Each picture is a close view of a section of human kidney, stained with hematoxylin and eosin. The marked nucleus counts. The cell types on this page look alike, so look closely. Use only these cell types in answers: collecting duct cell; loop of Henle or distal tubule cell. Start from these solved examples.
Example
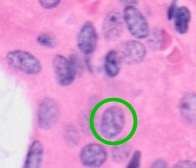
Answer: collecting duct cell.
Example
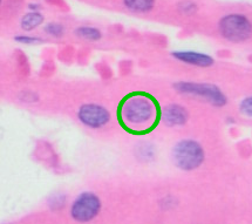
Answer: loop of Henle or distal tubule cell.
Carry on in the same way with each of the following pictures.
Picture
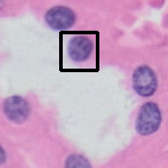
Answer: loop of Henle or distal tubule cell.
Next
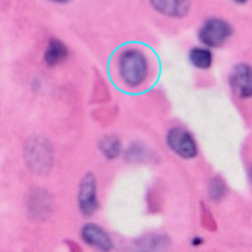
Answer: loop of Henle or distal tubule cell.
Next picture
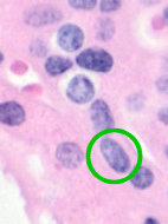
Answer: collecting duct cell.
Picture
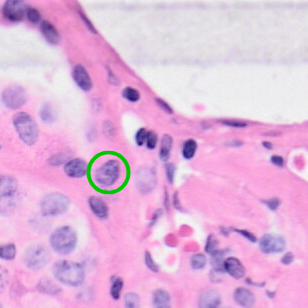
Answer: collecting duct cell.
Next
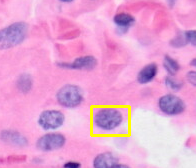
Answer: loop of Henle or distal tubule cell.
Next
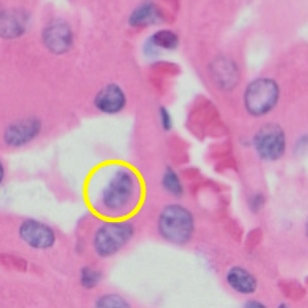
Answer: loop of Henle or distal tubule cell.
